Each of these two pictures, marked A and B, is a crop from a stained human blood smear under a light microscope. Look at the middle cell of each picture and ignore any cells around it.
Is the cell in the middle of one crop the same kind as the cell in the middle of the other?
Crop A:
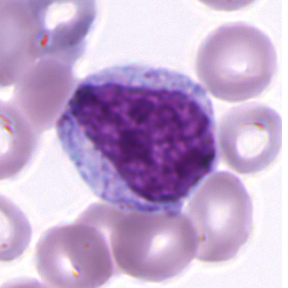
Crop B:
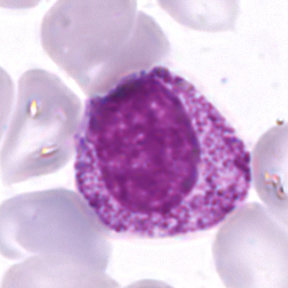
yes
